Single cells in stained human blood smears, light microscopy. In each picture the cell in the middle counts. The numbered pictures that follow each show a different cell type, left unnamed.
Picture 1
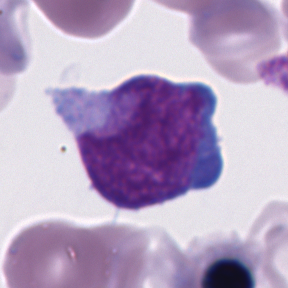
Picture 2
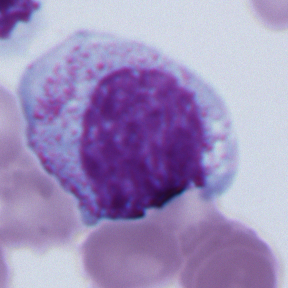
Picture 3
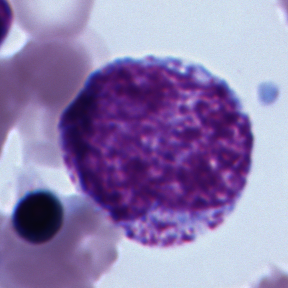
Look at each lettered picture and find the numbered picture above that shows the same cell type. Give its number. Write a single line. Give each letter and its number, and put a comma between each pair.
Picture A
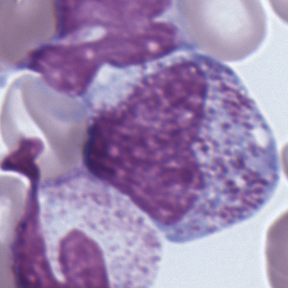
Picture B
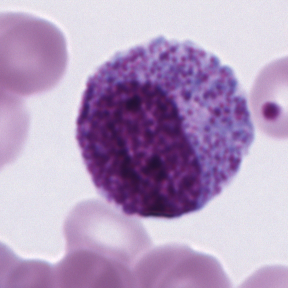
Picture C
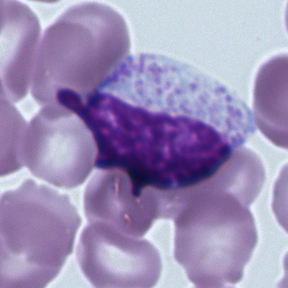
A 3, B 3, C 2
